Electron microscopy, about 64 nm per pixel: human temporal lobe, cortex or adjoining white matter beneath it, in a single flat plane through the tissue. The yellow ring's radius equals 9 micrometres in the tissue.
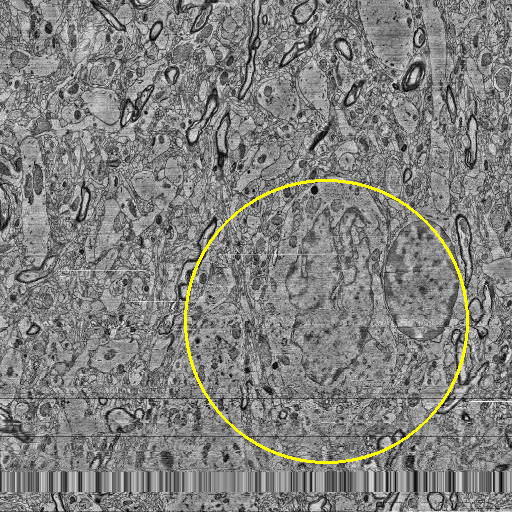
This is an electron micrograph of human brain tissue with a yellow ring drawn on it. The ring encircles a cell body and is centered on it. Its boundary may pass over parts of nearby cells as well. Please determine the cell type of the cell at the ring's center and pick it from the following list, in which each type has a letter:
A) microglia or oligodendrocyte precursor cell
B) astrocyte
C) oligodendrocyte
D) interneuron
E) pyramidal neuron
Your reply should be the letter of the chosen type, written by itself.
D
